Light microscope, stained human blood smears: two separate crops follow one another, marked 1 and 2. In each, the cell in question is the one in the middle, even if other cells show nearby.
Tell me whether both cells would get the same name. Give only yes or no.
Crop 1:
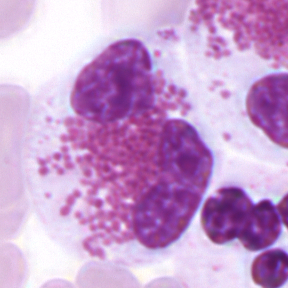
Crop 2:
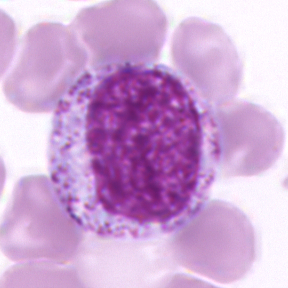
no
